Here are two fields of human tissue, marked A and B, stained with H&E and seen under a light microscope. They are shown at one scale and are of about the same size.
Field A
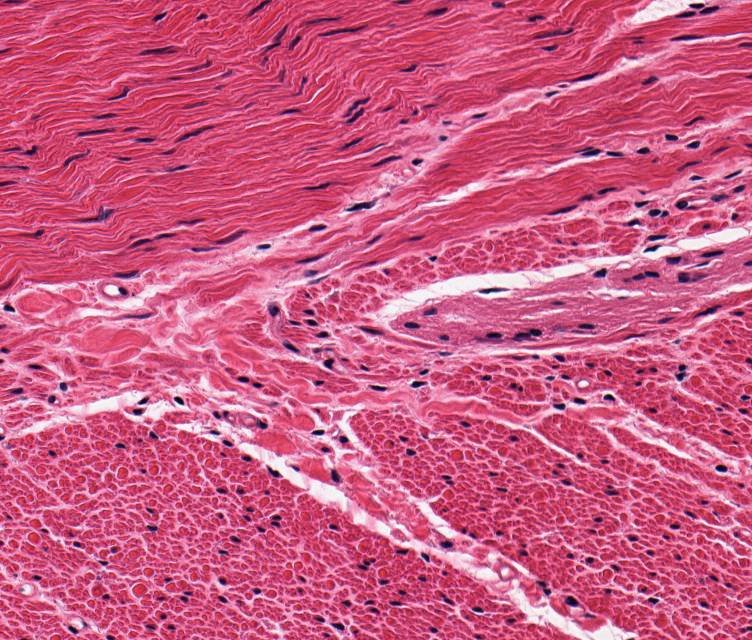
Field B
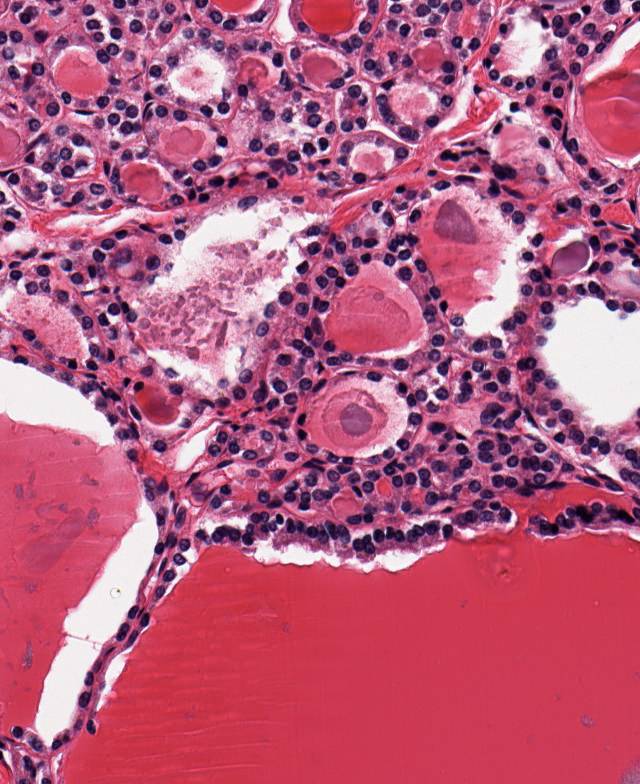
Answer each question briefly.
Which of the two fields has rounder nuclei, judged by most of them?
B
